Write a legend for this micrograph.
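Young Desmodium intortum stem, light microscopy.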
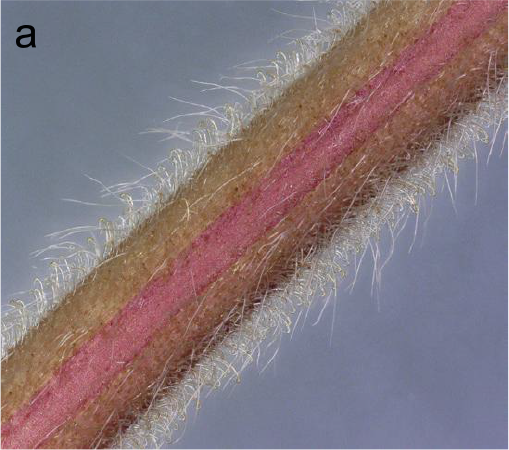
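The stem runs diagonally, its surface tinted brownish with a reddish-pink stripe along the middle. Along both edges countless fine, pale, translucent hairs stand out against the background; many are long and straight or slightly wavy, giving the stem a fuzzy outline, and shorter hairs crowd closer to the surface.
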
